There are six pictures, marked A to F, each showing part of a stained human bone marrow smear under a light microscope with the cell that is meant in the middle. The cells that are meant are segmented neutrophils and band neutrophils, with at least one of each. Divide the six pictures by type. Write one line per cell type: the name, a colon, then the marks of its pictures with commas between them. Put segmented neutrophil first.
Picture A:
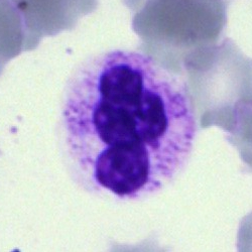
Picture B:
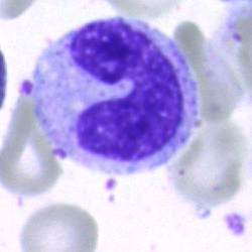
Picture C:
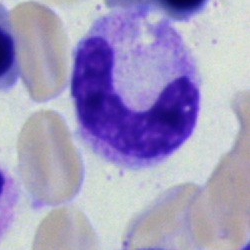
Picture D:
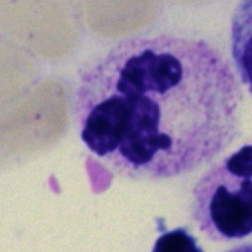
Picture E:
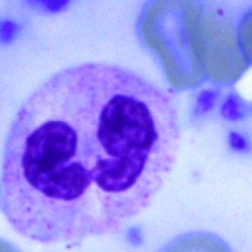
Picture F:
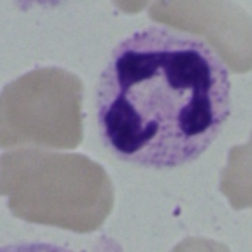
segmented neutrophil: A, D, E, F
band neutrophil: B, C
